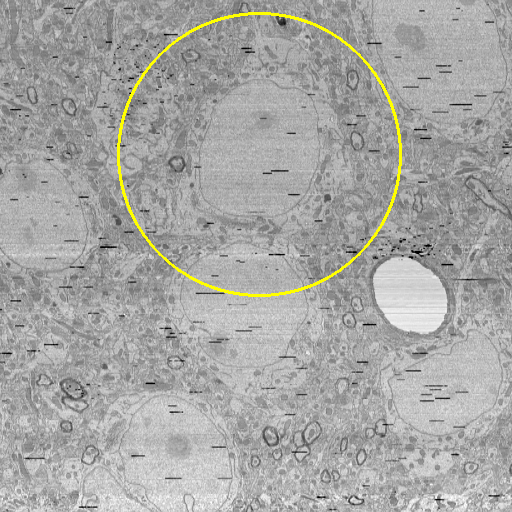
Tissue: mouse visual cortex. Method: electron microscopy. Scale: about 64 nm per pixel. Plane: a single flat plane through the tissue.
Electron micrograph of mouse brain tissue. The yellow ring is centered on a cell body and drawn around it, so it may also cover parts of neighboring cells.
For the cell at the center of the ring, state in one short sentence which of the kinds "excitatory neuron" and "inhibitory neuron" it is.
This ring is centered on an excitatory neuron.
